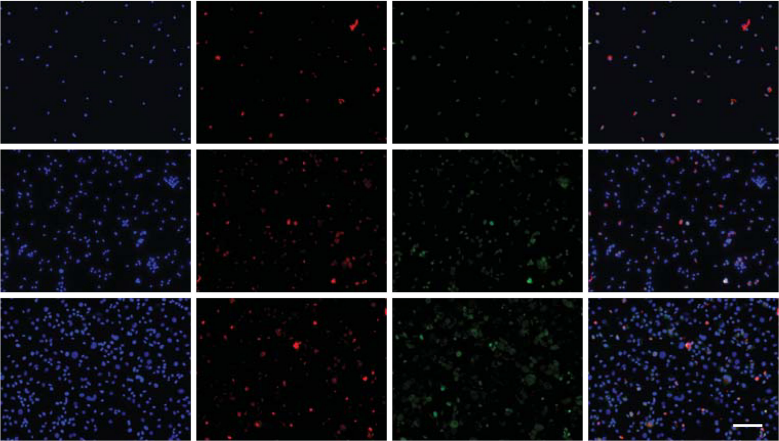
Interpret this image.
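These are low-magnification fluorescence fields of cultured cells, with blue nuclei scattered singly or in small clusters across a dark background. Red and green spots are small and sparse, each marking only a minority of the nuclei. The lower two rows hold many more blue nuclei than the top row, and the green spots are most frequent in the bottom row.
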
